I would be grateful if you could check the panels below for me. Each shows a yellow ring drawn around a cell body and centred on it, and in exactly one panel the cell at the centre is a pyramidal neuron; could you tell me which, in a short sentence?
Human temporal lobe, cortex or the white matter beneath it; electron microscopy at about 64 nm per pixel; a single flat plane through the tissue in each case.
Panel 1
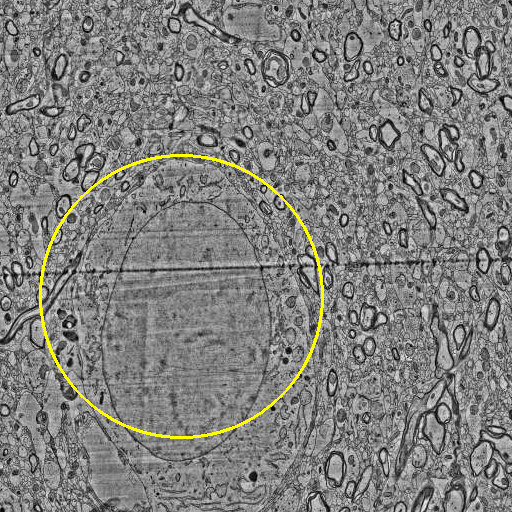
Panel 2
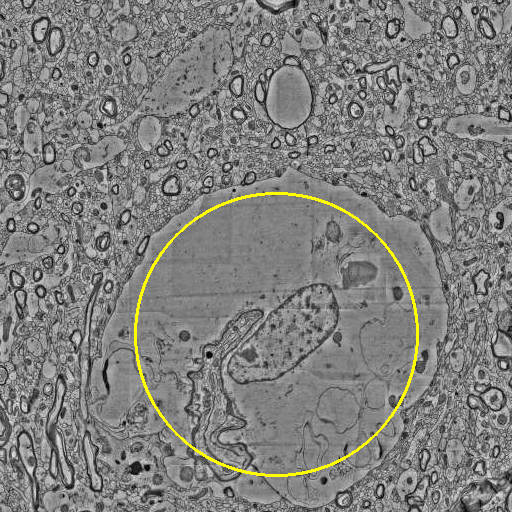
The ring in Panel 1 is centred on it.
